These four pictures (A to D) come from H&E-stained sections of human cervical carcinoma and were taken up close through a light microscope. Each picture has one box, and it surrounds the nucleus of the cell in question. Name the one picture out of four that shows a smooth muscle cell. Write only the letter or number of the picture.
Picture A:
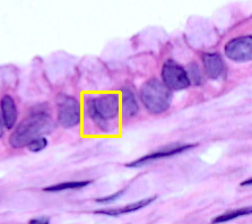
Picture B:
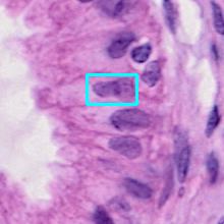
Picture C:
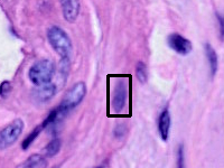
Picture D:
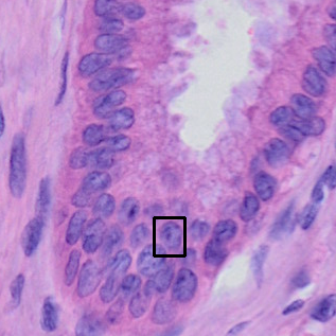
C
